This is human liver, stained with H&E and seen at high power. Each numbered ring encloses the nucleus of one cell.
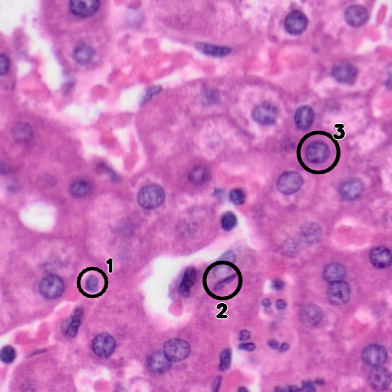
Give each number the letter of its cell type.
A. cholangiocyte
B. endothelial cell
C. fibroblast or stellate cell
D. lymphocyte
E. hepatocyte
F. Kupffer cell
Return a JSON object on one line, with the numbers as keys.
{"1": "D", "2": "C", "3": "E"}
